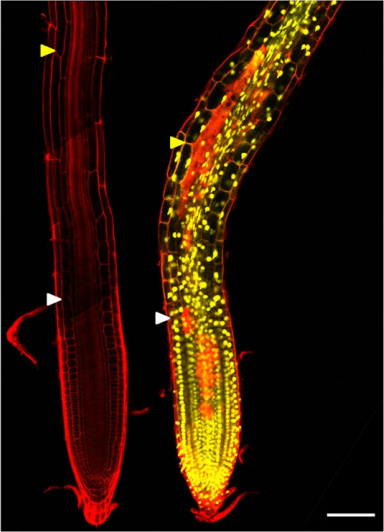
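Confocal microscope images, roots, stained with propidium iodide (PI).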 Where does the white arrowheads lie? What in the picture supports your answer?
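The white arrowheads sit some distance above the root cap on each root. Below the white arrowheads the cells are small and densely packed in regular files. Above the white arrowheads the cells in the files become longer. The answer: the end of meristematic zone.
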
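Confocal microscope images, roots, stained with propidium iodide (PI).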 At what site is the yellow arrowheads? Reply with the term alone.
The end of elongation zone.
